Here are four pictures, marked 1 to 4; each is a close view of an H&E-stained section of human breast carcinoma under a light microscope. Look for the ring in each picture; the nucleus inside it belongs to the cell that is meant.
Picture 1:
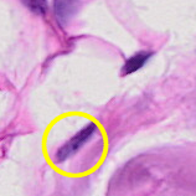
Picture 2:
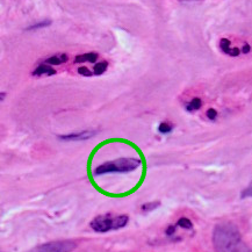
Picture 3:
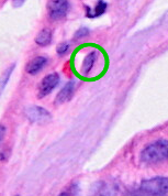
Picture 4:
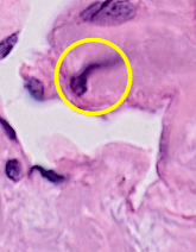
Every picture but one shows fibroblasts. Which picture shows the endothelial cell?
3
